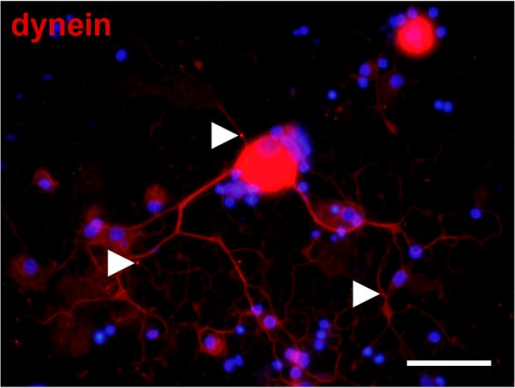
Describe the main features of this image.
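Thin red processes leave the central cell body and branch across the field, joining into a network; along them, white arrowheads mark small brighter red swellings. Numerous small round blue nuclei are scattered throughout, several pressed against the central cell body. In the background lie fainter, flattened red-tinged shapes with irregular outlines around some of the nuclei, dimmer than the neuron and its processes.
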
